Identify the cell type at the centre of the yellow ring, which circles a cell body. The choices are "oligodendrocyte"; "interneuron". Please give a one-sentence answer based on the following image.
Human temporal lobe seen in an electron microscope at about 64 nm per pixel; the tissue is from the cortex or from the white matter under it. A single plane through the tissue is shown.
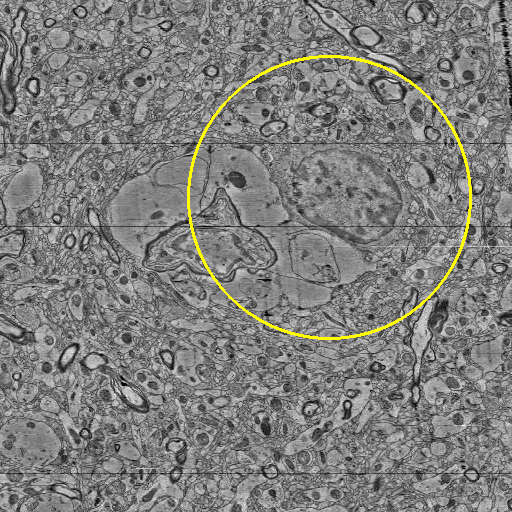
The cell marked by the ring is an oligodendrocyte.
